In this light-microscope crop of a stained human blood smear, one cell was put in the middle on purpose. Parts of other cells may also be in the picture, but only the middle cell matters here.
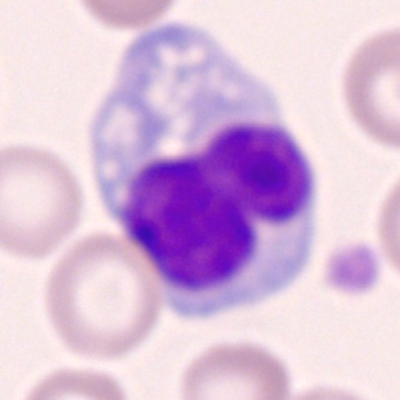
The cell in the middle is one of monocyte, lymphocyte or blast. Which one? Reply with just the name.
monocyte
